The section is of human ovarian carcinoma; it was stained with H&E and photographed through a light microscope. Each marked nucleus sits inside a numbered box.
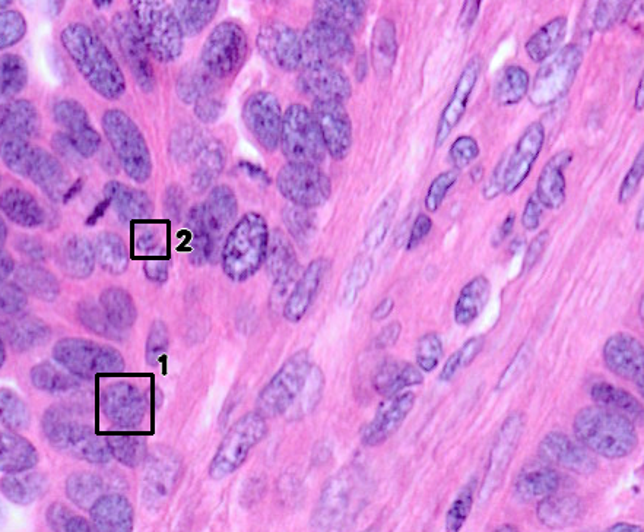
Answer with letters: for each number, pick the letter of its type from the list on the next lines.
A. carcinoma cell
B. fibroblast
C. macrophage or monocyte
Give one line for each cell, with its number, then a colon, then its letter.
1: A
2: C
